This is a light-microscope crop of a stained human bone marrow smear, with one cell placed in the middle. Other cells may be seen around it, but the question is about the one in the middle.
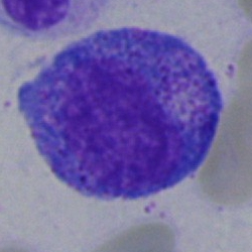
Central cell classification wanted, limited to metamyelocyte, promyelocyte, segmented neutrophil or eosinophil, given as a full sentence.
The target cell in the middle of the crop is a promyelocyte.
